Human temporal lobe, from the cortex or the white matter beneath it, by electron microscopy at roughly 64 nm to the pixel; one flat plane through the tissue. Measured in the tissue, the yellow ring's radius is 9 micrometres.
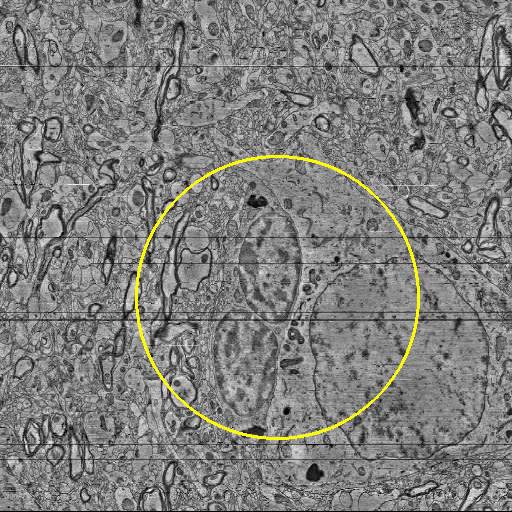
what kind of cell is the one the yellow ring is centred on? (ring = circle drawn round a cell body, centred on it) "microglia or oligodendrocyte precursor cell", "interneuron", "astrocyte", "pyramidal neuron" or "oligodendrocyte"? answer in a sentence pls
The ring is drawn around an oligodendrocyte.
